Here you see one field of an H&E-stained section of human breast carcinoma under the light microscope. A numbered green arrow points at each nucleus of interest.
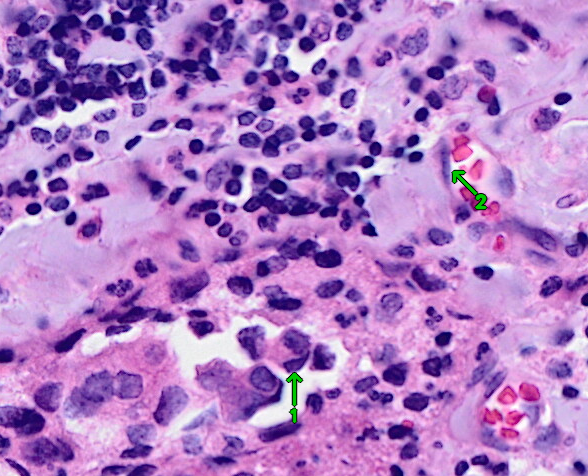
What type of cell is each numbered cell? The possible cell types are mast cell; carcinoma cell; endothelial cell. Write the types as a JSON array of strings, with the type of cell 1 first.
["carcinoma cell", "endothelial cell"]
